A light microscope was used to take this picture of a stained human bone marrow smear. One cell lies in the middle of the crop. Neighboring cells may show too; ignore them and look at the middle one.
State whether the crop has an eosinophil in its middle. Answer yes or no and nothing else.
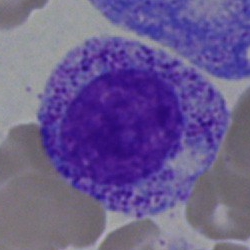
no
